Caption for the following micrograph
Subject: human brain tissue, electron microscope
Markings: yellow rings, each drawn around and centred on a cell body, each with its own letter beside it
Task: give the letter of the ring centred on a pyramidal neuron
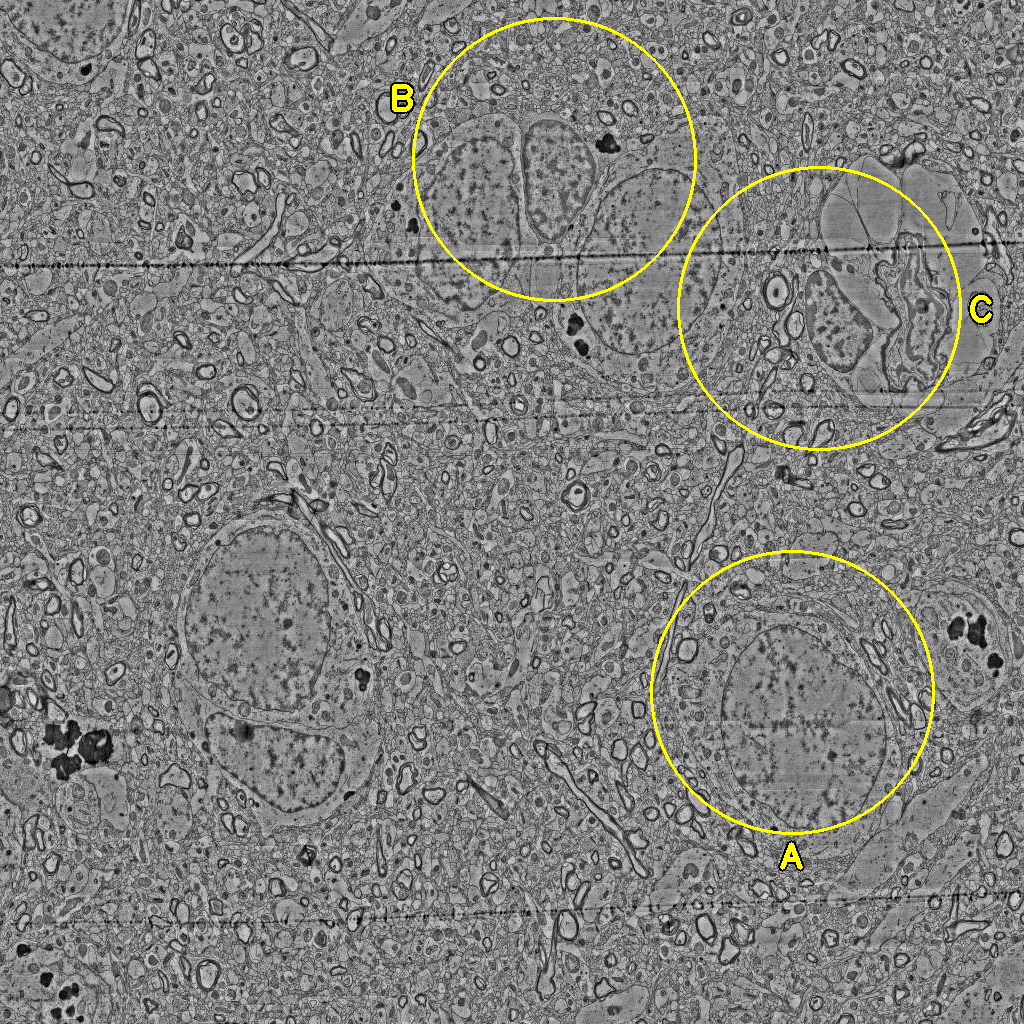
A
